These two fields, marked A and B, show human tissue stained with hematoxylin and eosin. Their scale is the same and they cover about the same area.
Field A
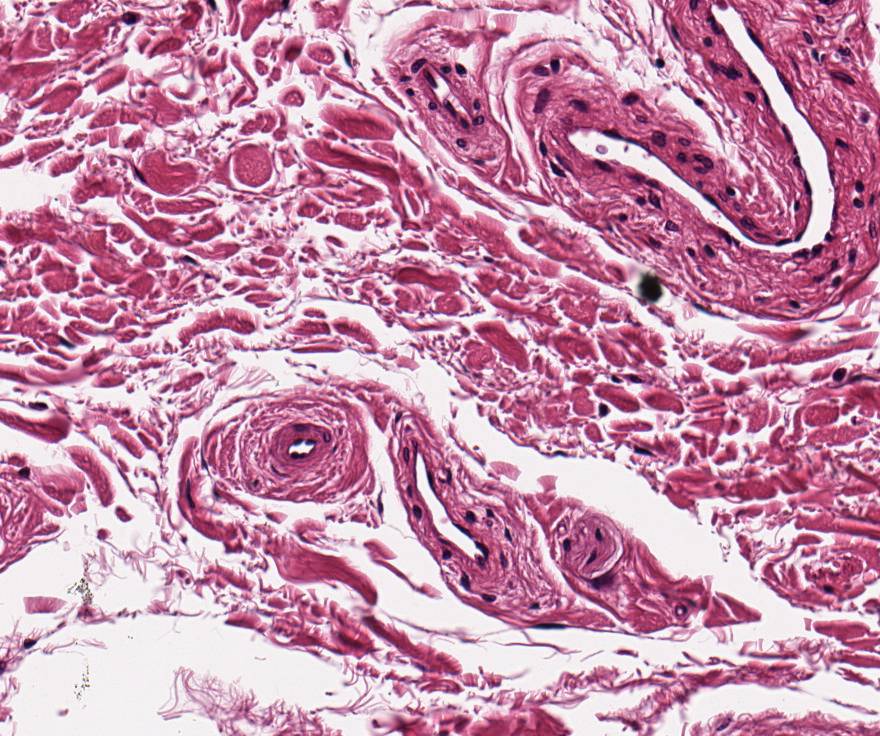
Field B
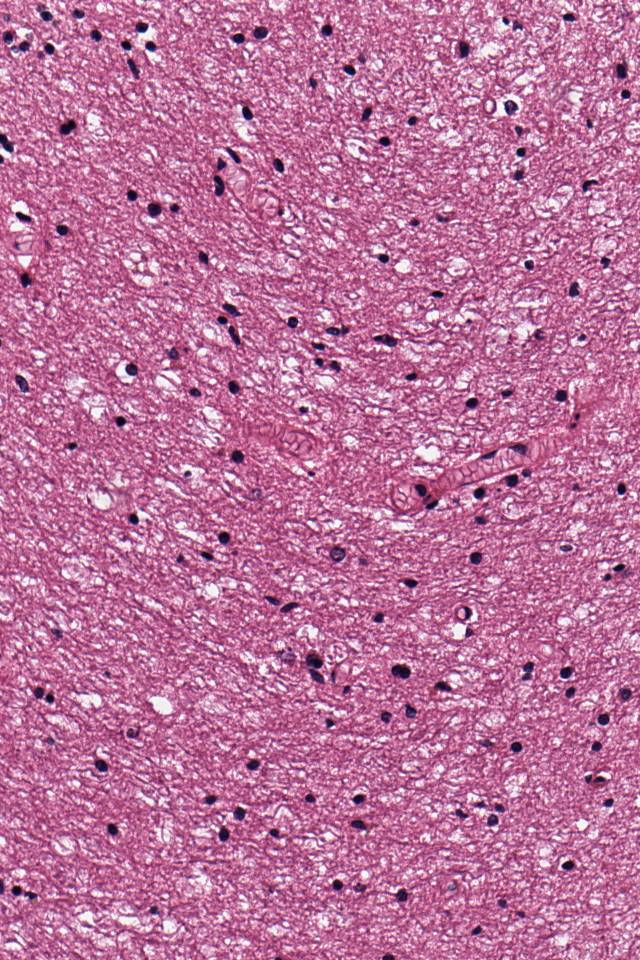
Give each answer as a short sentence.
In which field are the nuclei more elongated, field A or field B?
It is field A whose nuclei are the more elongated.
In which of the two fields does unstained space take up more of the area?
Unstained space takes up more of field A than of field B.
